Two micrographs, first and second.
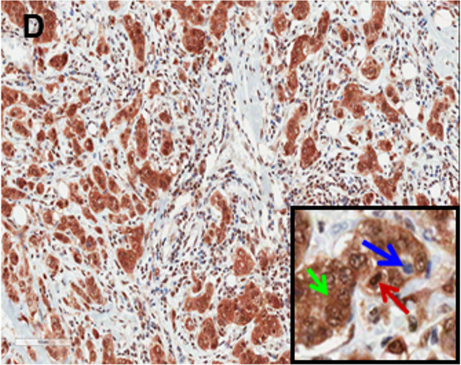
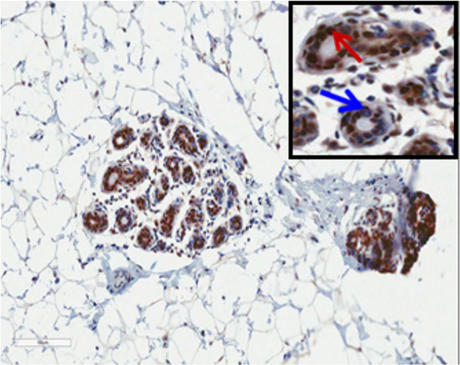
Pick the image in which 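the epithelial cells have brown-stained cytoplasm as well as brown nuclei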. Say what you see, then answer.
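First image: the tumour cells are brown throughout, cytoplasm and nuclei alike. Second image: the ducts show brown nuclei with paler cytoplasm around them.
Answer: the first image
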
